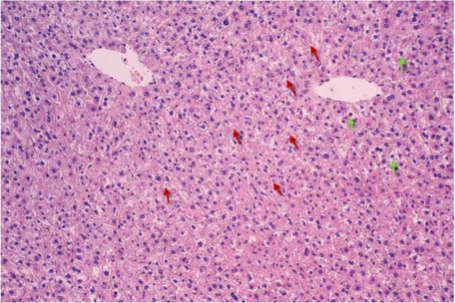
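This is liver parenchyma with two vessel lumens, containing some red blood cells, and surrounding hepatocytes stained with hematoxylin and eosin. The radial arrangement of hepatocyte cords is less orderly than in normal liver, and the cytoplasm is unevenly stained. Some areas are deeper pink, while some hepatocytes appear pale and cleared. Nuclei vary in staining and spacing. Arrows in two colours point to individual altered hepatocytes scattered through the field. Sinusoids are hard to make out in much of the section.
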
